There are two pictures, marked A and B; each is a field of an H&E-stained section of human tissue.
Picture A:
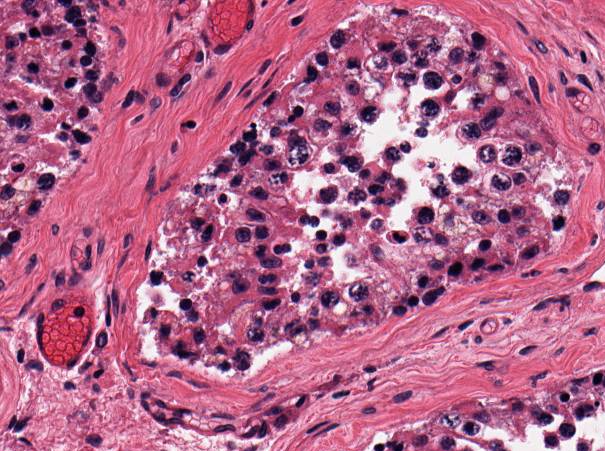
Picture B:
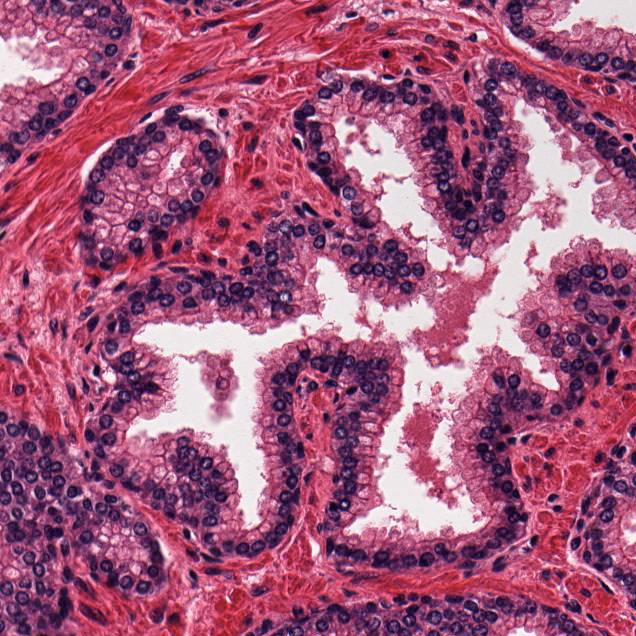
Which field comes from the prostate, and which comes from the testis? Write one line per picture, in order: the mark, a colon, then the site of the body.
A: testis
B: prostate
